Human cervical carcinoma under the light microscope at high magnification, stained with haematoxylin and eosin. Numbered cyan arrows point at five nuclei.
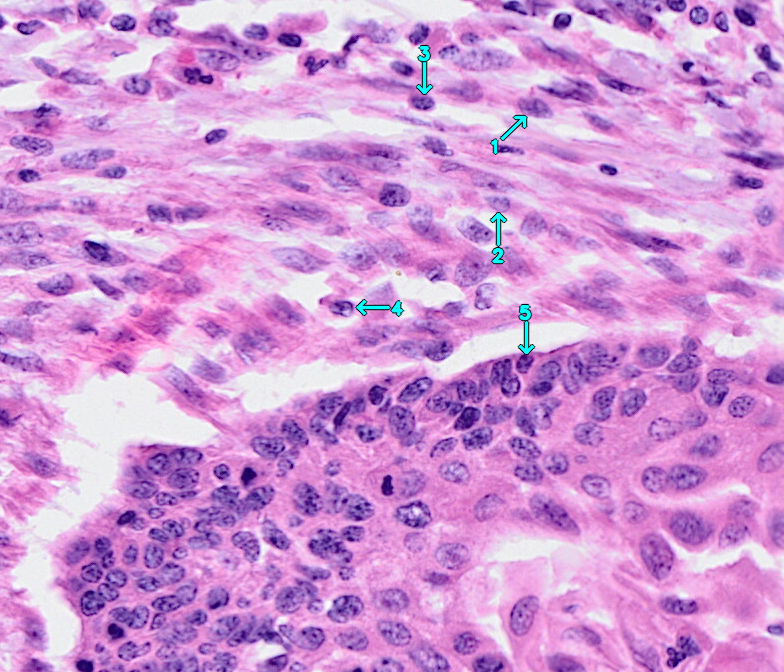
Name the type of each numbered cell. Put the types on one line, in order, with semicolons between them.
macrophage or monocyte; fibroblast; lymphocyte; macrophage or monocyte; squamous carcinoma cell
